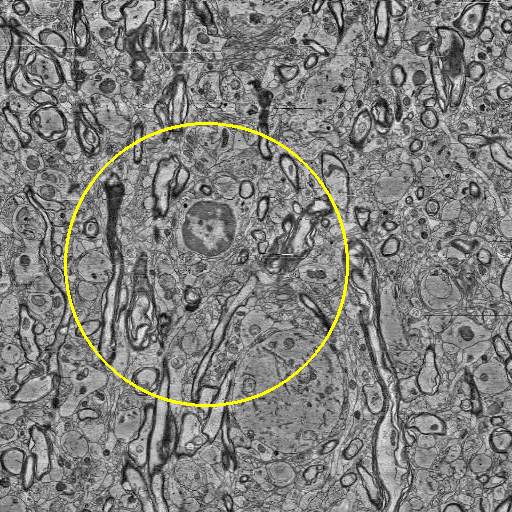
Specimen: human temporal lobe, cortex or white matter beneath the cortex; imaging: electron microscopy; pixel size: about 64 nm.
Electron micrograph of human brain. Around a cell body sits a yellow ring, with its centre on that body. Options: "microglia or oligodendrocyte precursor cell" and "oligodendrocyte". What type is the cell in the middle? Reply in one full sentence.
The cell sitting at the centre of the yellow ring is a microglial cell or oligodendrocyte precursor cell.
